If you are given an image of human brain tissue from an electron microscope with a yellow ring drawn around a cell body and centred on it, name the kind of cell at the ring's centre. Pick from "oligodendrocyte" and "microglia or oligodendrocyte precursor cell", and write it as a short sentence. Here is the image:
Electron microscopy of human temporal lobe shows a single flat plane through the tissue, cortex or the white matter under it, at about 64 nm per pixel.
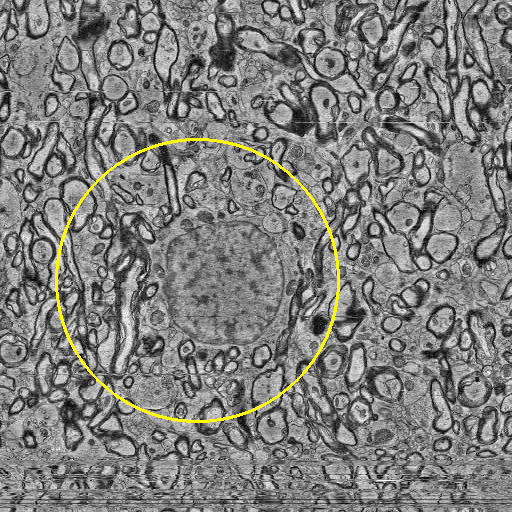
The cell at the ring's centre is an oligodendrocyte.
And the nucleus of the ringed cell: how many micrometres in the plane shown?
About 9 by 8 micrometres in this plane.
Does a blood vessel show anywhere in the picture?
No.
